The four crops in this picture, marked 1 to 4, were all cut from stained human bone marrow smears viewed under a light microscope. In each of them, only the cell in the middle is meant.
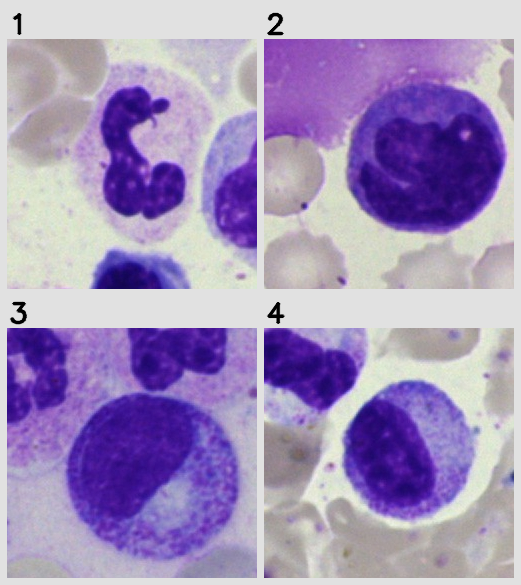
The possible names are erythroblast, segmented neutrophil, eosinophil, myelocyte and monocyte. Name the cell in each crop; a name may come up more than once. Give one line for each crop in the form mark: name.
1: segmented neutrophil
2: monocyte
3: myelocyte
4: myelocyte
